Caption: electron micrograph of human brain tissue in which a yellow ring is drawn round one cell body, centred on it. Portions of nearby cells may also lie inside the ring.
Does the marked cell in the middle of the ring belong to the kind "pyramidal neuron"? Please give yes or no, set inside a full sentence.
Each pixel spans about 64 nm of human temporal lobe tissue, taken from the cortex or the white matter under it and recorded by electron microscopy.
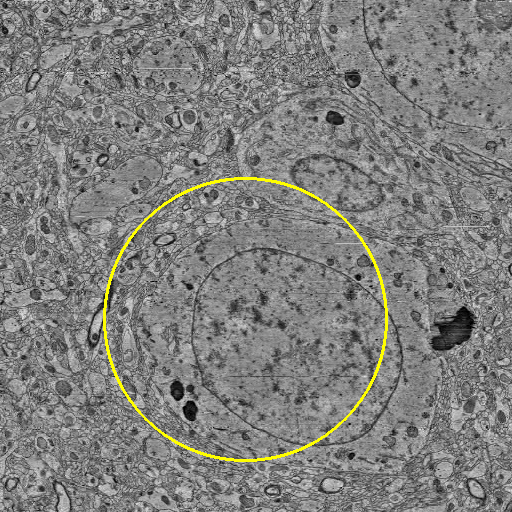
Yes, the marked cell that the ring is centred on in the picture is of that kind.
